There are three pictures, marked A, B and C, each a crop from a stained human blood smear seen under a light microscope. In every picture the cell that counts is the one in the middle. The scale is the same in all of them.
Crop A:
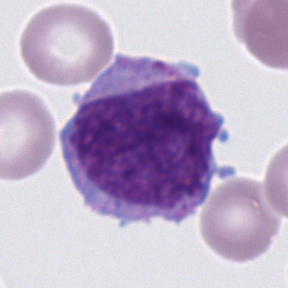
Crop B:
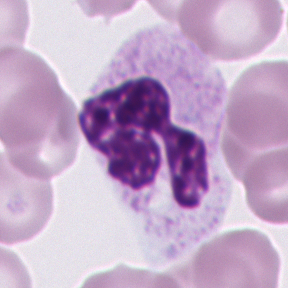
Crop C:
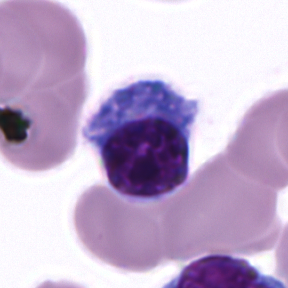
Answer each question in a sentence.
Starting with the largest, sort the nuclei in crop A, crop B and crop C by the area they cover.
Largest first: A, B, C.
